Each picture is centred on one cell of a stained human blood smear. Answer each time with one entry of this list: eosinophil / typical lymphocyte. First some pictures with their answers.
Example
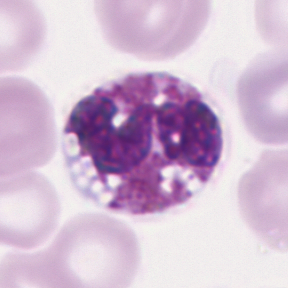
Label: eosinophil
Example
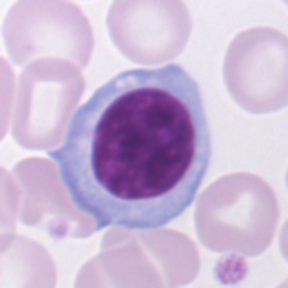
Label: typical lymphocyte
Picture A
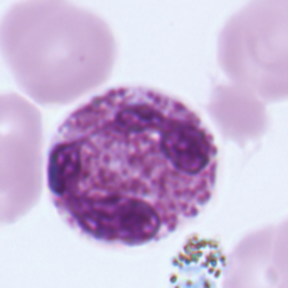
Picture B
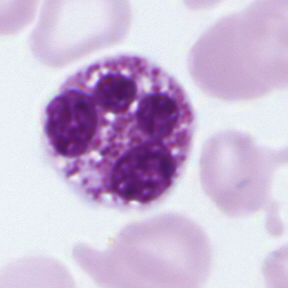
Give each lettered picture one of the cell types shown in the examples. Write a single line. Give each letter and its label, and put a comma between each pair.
A eosinophil, B eosinophil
